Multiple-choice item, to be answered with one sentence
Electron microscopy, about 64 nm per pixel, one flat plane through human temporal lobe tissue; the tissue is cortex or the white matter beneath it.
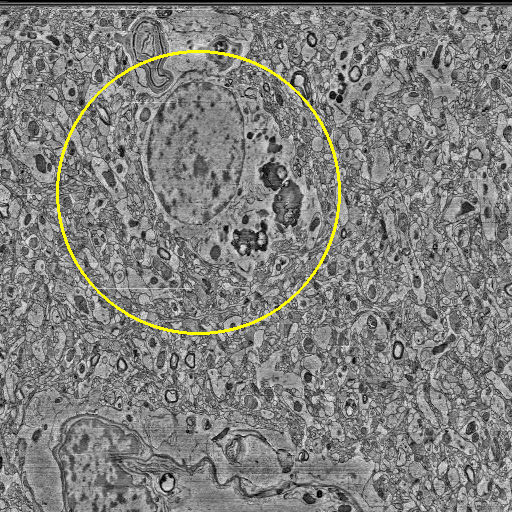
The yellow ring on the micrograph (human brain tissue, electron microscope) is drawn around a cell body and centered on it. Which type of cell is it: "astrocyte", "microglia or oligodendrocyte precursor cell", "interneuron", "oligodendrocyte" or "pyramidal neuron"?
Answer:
The ring is centered on an astrocyte.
